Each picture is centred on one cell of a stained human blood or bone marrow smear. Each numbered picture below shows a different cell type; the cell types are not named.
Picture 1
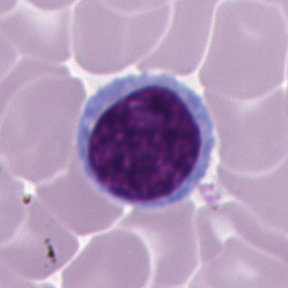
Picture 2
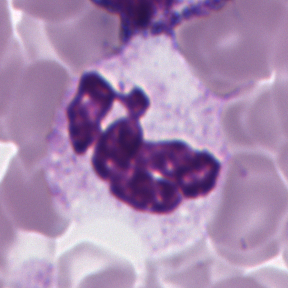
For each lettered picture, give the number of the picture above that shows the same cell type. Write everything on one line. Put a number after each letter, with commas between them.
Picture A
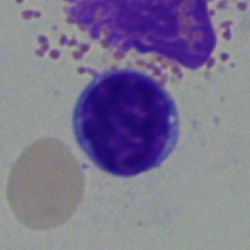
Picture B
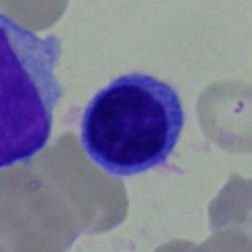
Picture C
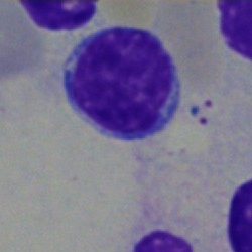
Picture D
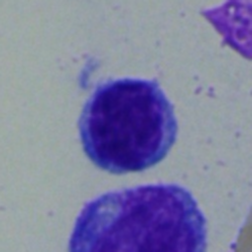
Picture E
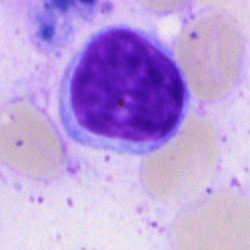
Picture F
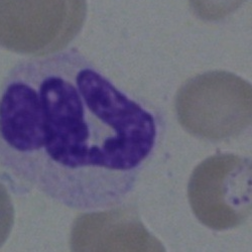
A 1, B 1, C 1, D 1, E 1, F 2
